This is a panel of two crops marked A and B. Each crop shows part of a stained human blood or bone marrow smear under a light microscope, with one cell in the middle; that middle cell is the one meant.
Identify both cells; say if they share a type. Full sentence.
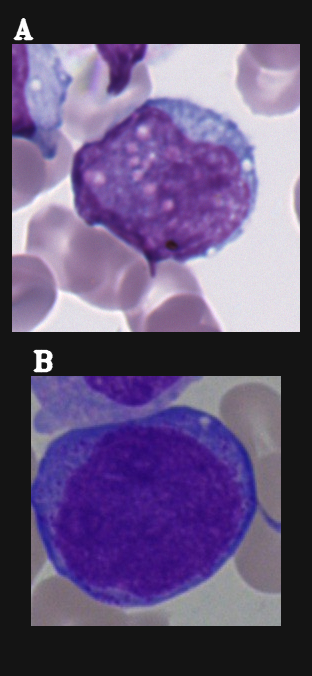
Yes, these two crops both show blasts.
